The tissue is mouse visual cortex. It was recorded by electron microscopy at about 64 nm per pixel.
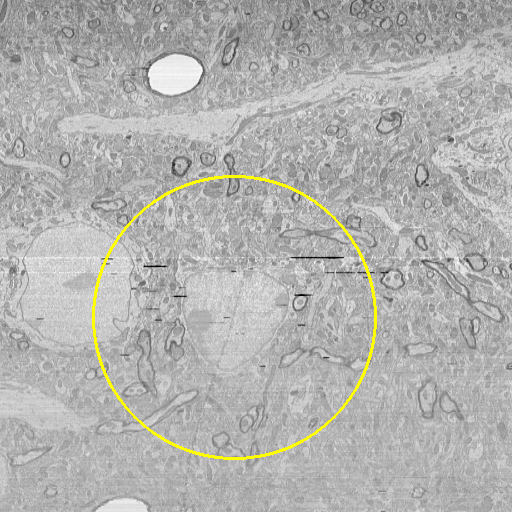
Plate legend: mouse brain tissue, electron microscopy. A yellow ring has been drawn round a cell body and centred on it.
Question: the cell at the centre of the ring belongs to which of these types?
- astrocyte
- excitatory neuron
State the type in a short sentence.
The cell in the middle of the ring is an astrocyte.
